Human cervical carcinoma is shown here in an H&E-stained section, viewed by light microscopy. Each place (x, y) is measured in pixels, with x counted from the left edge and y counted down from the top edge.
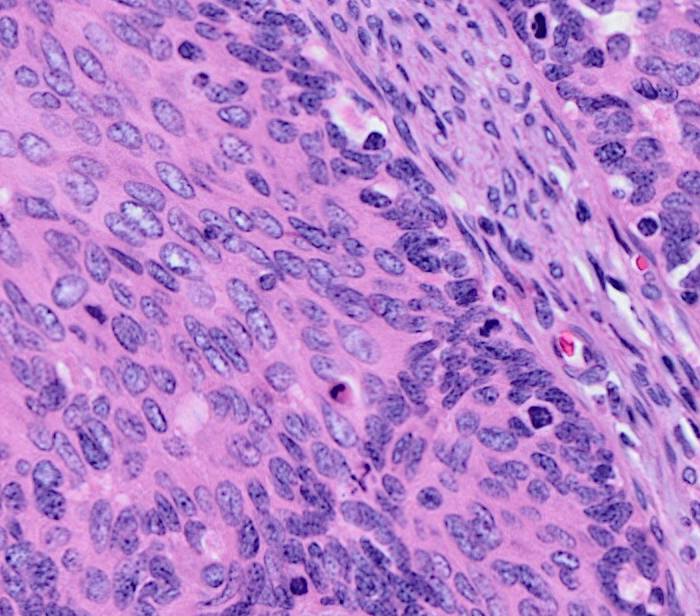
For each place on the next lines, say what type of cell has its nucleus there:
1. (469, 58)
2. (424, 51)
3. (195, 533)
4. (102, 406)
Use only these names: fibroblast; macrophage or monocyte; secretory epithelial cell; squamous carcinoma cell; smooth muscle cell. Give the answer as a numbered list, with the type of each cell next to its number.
1. smooth muscle cell
2. smooth muscle cell
3. squamous carcinoma cell
4. squamous carcinoma cell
